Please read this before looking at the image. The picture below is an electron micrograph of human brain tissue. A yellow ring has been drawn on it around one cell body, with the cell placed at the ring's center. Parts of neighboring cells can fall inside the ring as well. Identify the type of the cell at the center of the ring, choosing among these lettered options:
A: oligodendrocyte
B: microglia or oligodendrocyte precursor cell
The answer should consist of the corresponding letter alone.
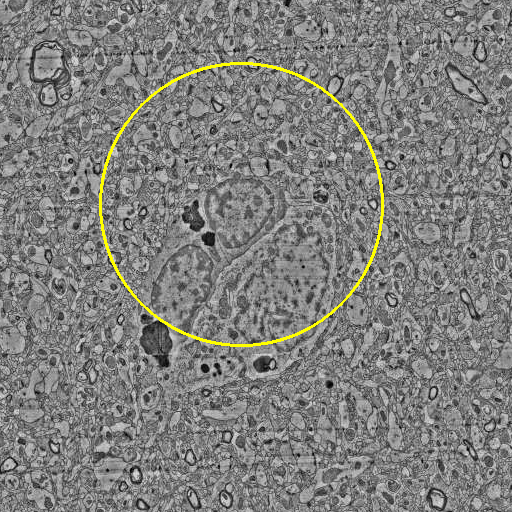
A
